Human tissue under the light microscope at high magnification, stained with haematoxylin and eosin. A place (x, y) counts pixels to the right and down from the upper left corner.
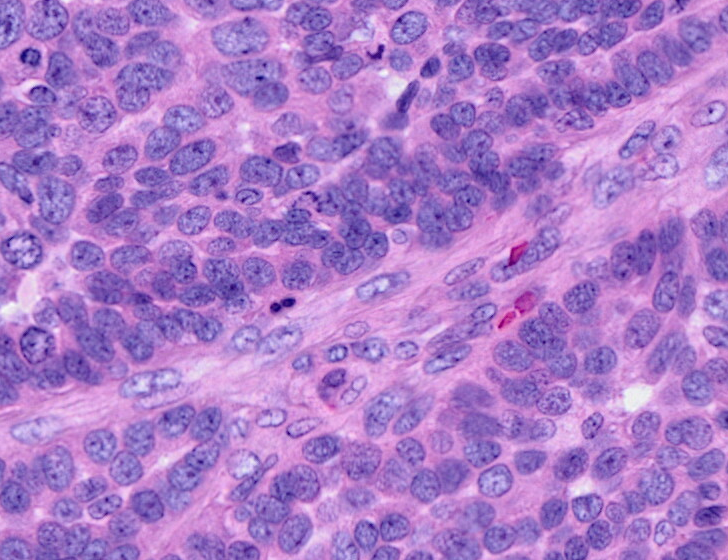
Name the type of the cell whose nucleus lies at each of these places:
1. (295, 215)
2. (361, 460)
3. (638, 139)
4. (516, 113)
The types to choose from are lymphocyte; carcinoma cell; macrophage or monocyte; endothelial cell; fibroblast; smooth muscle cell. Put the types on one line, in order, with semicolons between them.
carcinoma cell; carcinoma cell; fibroblast; carcinoma cell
